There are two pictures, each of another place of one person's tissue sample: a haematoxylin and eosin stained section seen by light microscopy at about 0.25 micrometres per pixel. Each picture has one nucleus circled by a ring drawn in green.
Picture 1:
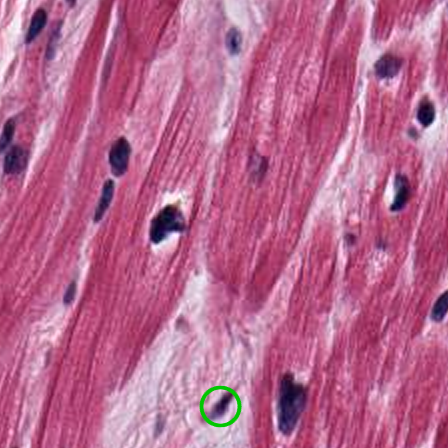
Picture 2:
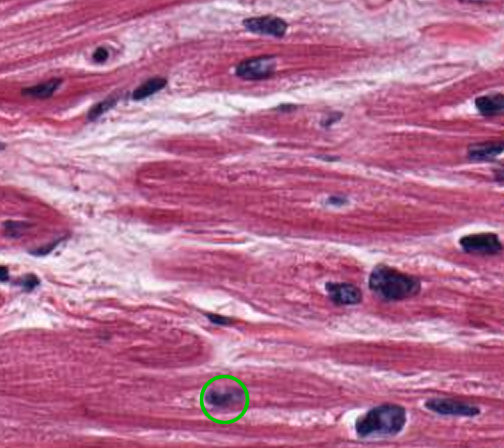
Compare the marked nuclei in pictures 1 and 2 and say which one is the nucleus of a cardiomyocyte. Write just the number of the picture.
2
